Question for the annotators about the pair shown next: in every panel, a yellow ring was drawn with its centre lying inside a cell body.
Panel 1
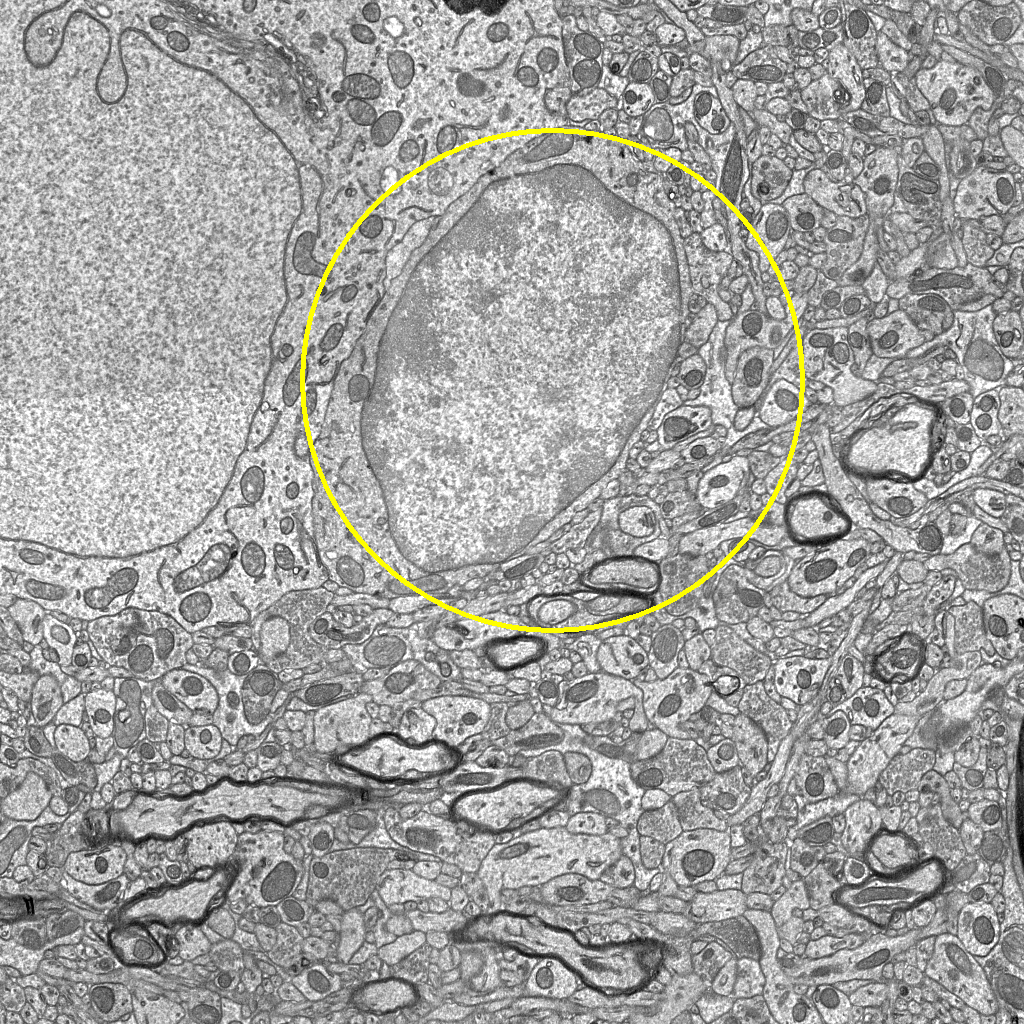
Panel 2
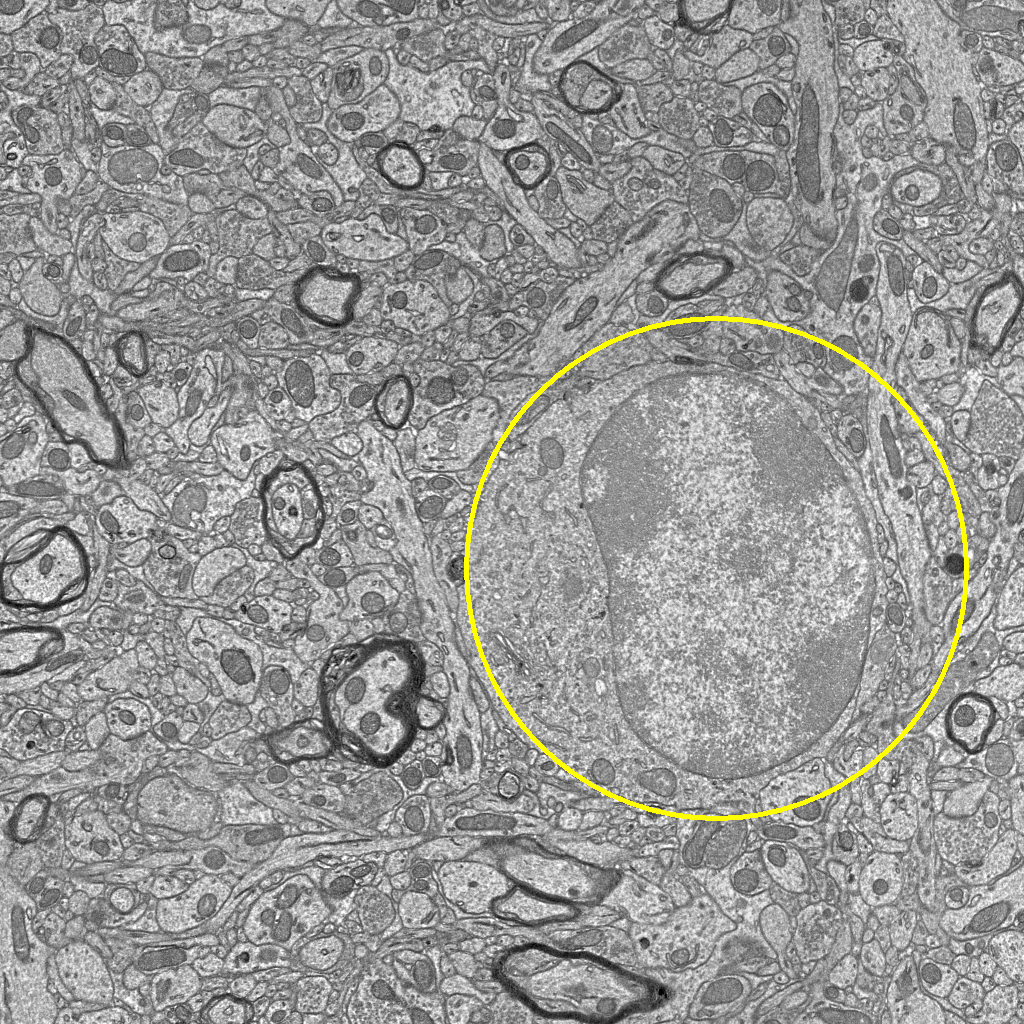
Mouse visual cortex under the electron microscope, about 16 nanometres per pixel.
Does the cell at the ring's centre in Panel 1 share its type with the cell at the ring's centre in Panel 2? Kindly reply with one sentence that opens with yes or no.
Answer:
Yes, in Panels 1 and 2 the cells at the ring centres belong to a single type.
